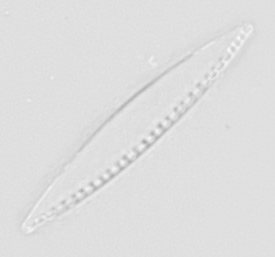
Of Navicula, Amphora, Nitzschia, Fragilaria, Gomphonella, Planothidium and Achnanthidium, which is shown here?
Nitzschia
